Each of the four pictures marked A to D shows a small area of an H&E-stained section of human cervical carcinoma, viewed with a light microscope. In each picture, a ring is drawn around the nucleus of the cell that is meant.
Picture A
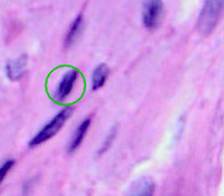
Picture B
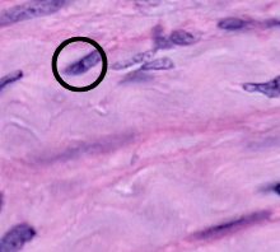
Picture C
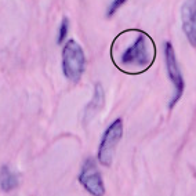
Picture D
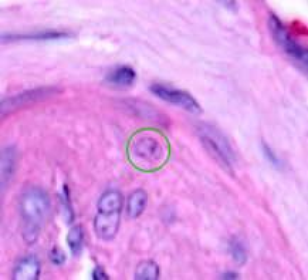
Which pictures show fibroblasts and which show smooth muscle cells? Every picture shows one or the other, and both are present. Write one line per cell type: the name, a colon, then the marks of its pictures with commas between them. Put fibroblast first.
fibroblast: A, B, C
smooth muscle cell: D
